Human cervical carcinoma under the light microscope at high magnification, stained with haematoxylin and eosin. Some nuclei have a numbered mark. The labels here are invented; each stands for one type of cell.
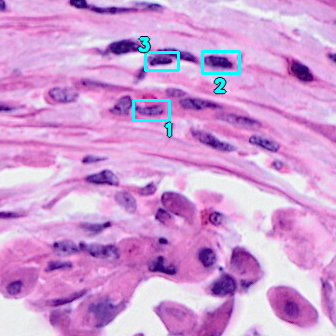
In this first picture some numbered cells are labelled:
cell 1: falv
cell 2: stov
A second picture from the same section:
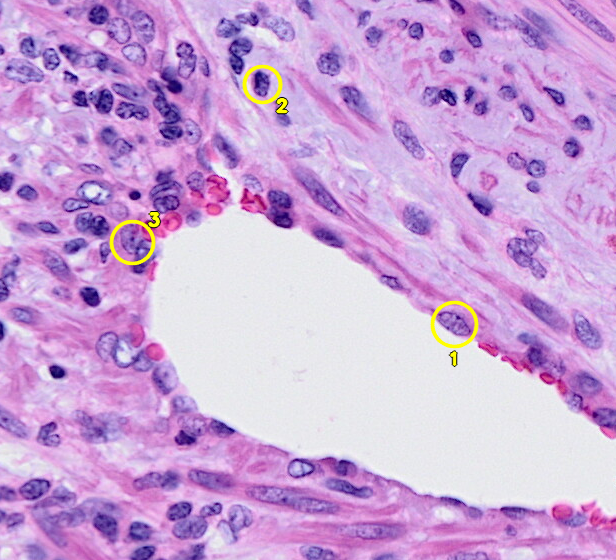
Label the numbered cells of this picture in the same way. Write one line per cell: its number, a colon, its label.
1: falv
2: stov
3: falv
